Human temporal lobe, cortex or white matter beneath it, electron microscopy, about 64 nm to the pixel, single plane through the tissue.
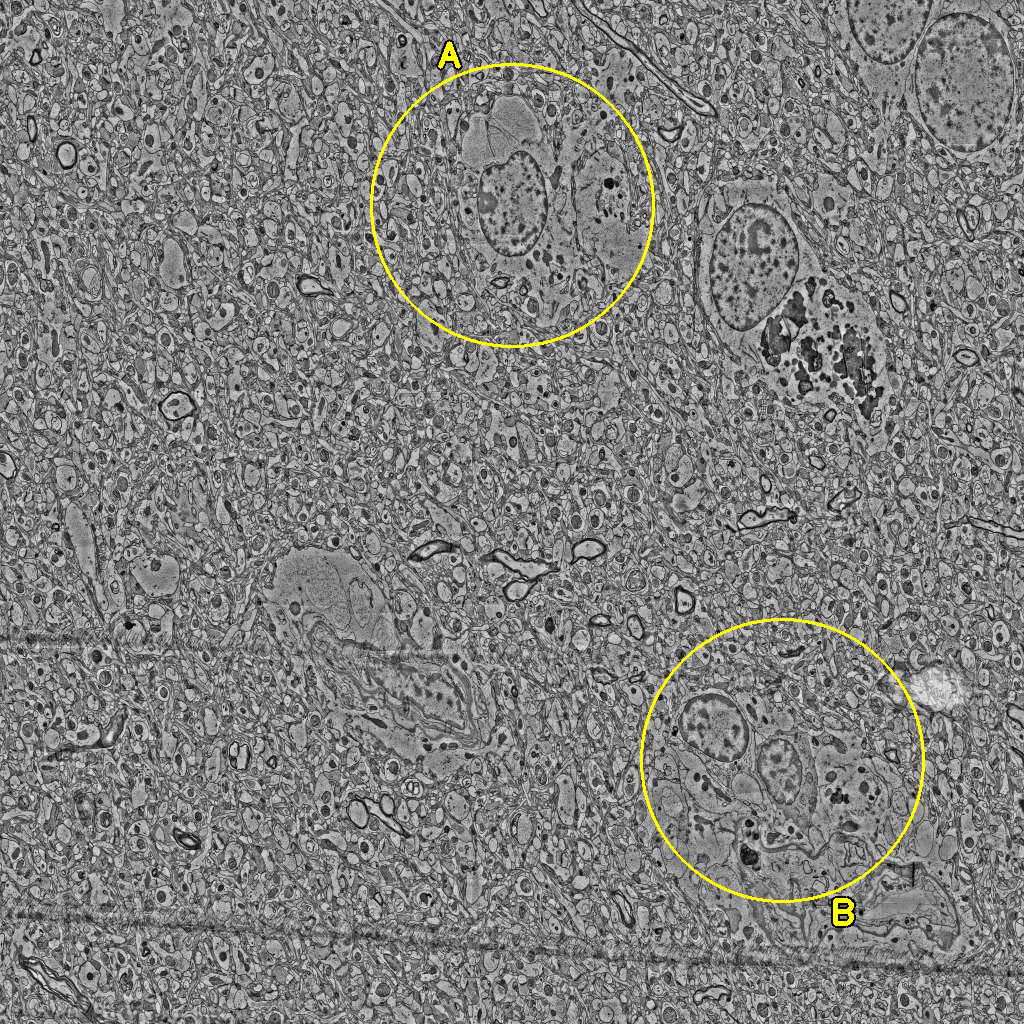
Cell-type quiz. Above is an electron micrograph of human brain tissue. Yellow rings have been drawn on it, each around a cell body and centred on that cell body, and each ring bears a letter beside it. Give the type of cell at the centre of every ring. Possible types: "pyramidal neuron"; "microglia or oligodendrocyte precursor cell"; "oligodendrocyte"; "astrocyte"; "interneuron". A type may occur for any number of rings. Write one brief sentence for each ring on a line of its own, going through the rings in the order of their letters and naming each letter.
Ring A is centred on the cell body of an astrocyte.
Ring B is centred on the cell body of an oligodendrocyte.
